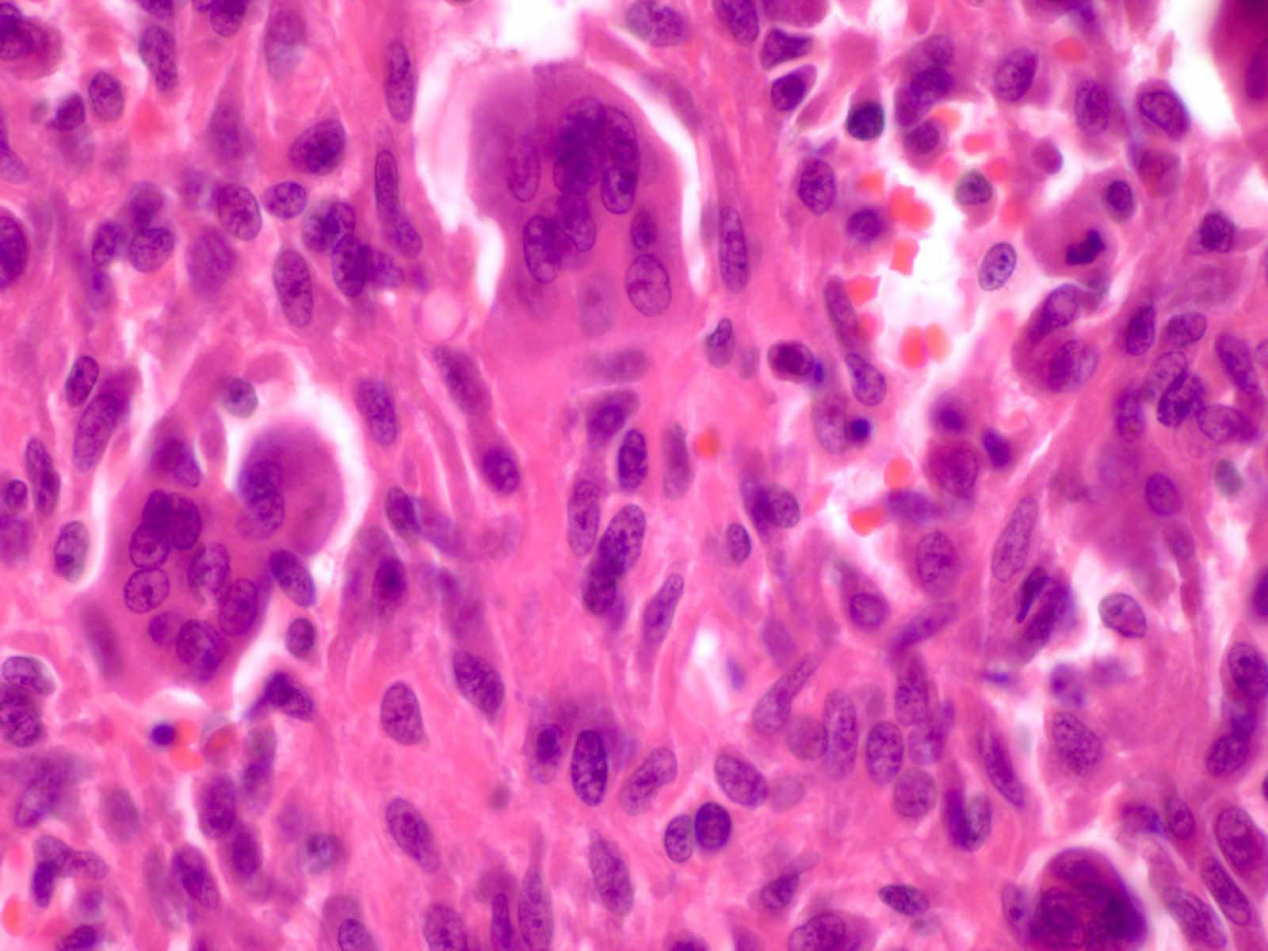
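This tumor tissue is made of scattered multinucleated giant cells lying in a dense sheet of ovoid to spindle-shaped mononuclear stromal cells. The giant cells are large, with abundant pink cytoplasm and many oval nuclei crowded together, often toward the cell's centre. The mononuclear stromal cells are packed closely, each with a single oval to elongated nucleus with fine chromatin and a moderate amount of pale pink cytoplasm. The nuclei of the stromal cells look much like those within the giant cells in size, shape and chromatin. A few red blood cells lie in small spaces between the cells.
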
